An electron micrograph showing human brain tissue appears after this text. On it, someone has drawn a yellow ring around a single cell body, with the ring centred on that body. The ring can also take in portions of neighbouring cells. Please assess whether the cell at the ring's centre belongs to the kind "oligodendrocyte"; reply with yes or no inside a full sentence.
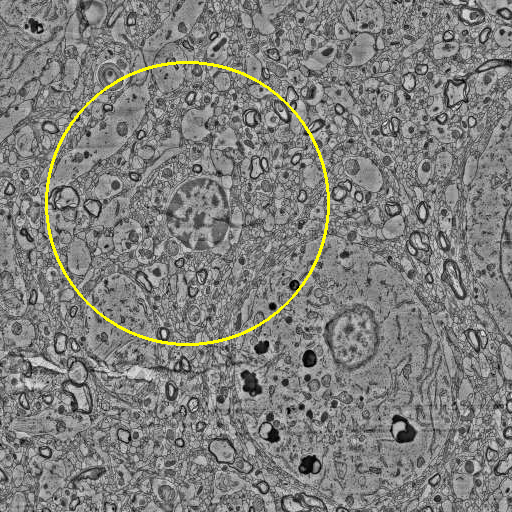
No, in this micrograph the cell at the centre of the ring is of another kind.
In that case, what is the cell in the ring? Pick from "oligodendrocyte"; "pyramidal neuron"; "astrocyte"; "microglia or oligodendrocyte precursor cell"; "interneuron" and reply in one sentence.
The correct answer is that the cell is a microglial cell or oligodendrocyte precursor cell.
